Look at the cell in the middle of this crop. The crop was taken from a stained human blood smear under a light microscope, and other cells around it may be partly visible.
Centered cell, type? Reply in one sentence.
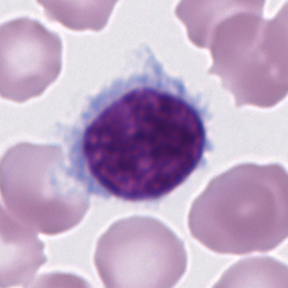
Where the crop is centred, there is a hairy cell.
